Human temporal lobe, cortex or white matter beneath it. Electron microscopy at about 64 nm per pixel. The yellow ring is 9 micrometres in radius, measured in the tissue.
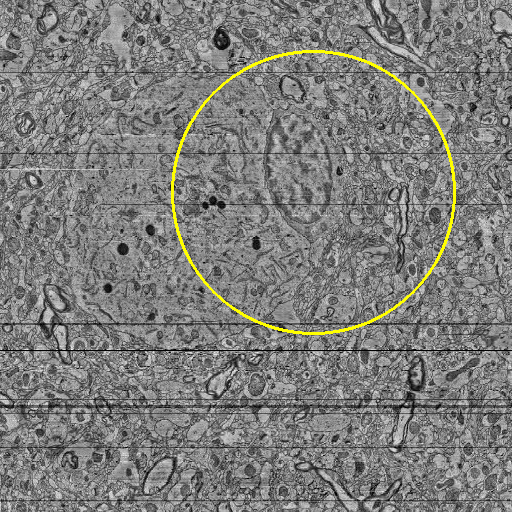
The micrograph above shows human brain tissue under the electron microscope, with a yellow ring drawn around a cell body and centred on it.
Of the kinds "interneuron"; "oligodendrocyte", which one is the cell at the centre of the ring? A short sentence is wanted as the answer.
The one at the centre of the ring is an oligodendrocyte.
